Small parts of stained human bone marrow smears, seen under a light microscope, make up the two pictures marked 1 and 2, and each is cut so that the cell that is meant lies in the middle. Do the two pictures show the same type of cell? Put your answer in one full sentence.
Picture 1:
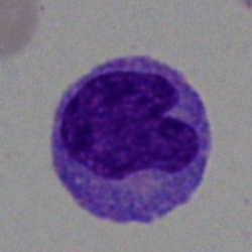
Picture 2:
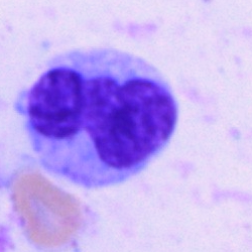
Yes, both cells are monocytes.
